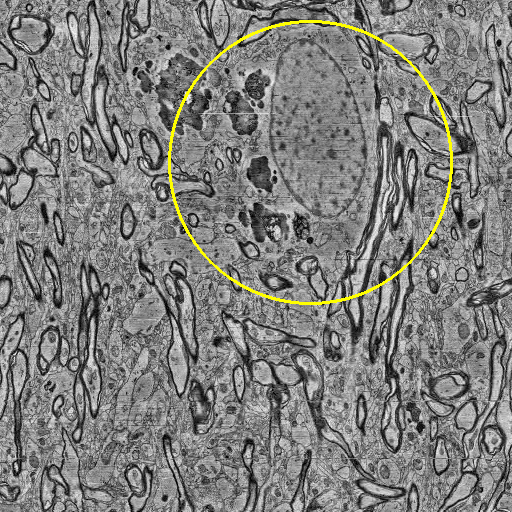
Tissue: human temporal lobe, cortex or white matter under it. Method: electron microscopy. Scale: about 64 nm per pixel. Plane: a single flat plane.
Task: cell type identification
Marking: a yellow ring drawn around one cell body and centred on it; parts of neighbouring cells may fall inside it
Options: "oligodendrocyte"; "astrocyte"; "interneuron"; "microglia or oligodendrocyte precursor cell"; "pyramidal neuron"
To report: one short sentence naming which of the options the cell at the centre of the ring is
The cell at the centre of the ring is an astrocyte.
